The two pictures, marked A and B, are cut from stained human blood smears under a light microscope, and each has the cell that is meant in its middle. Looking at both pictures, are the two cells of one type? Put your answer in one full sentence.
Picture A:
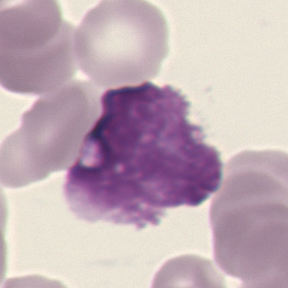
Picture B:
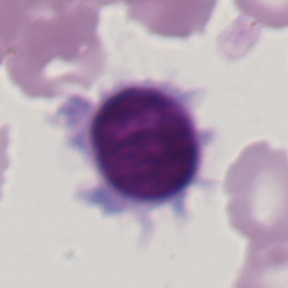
No, the types are not the same, since picture A shows a smudge cell and picture B a hairy cell.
